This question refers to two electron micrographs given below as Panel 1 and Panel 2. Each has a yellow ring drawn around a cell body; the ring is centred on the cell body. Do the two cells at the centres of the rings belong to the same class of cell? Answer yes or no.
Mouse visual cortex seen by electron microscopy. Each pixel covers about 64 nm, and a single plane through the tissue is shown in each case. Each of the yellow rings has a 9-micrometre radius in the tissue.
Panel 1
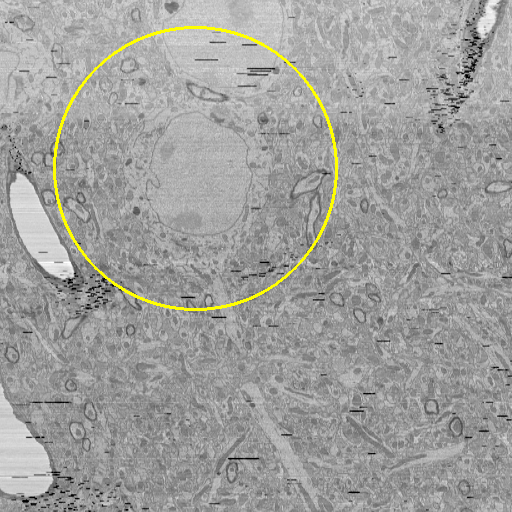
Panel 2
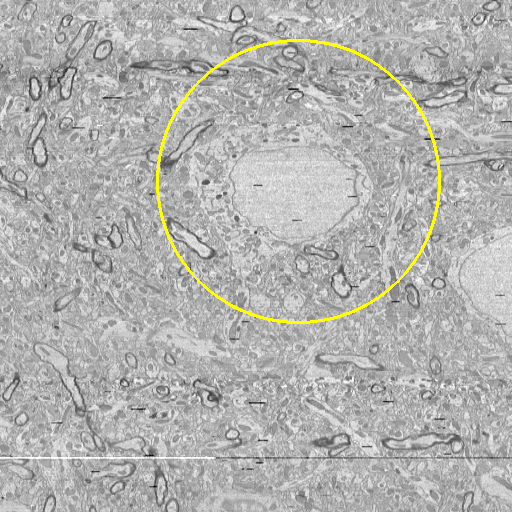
no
